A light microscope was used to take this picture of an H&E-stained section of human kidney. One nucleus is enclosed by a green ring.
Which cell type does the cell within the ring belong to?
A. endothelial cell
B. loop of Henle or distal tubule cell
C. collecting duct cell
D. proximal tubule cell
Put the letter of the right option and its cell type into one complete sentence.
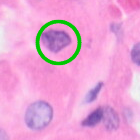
Of the options given, D is right: the cell within the ring is a proximal tubule cell.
